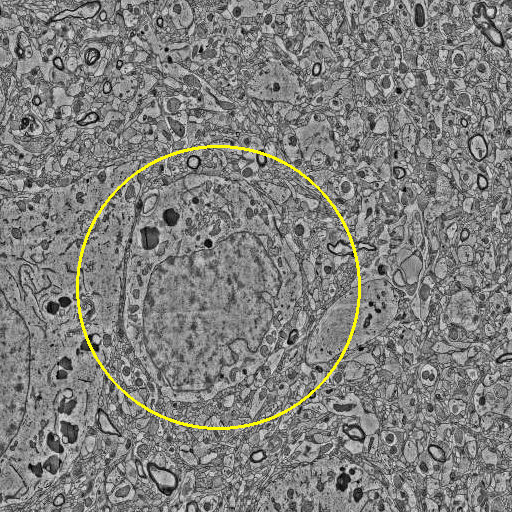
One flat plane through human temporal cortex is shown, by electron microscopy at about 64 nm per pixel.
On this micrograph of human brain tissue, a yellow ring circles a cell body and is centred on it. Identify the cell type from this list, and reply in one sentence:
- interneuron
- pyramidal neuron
The cell at the centre is an interneuron.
